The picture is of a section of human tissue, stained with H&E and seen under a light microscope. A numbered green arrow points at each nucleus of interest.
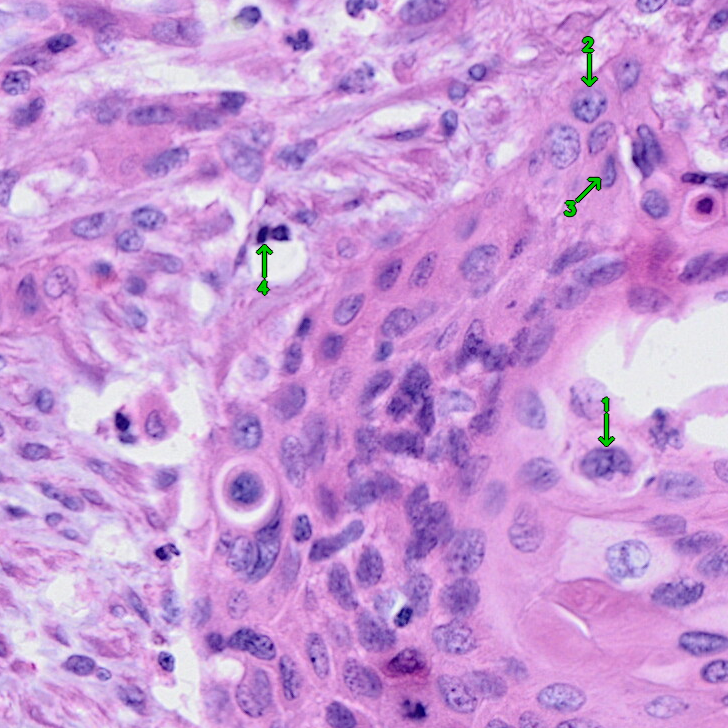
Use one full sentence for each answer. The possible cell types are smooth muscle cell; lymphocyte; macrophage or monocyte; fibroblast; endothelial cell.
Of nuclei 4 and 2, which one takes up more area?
Nucleus 2 is the larger one, covering about 3 times the area of nucleus 4.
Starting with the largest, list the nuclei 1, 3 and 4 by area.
From largest to smallest, the order is 1, 3, 4.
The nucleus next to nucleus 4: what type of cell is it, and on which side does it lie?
The nearest nucleus is that of a lymphocyte and lies to the right of nucleus 4.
